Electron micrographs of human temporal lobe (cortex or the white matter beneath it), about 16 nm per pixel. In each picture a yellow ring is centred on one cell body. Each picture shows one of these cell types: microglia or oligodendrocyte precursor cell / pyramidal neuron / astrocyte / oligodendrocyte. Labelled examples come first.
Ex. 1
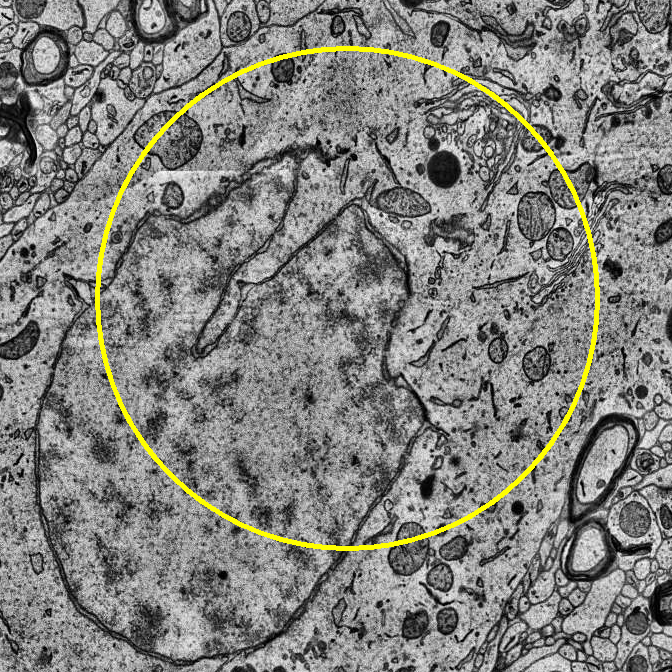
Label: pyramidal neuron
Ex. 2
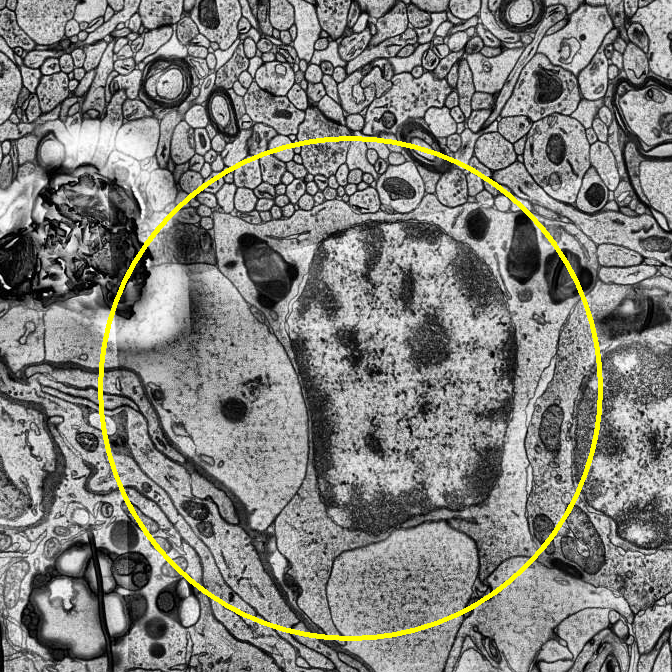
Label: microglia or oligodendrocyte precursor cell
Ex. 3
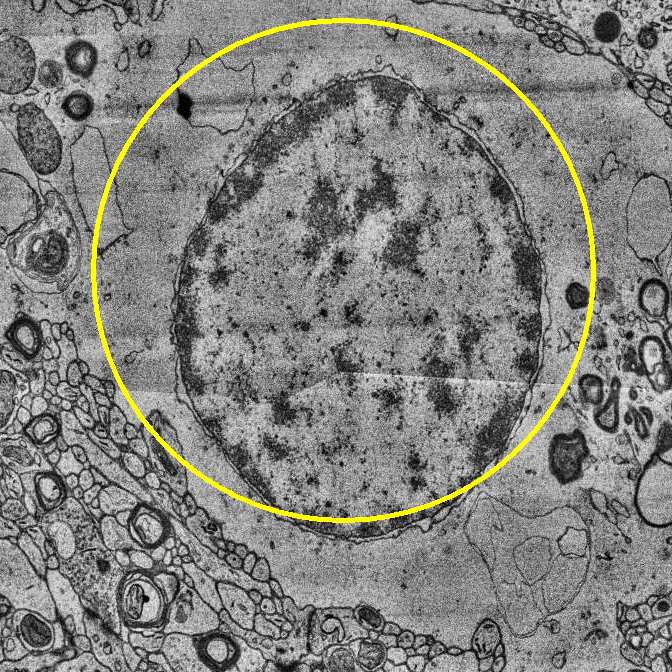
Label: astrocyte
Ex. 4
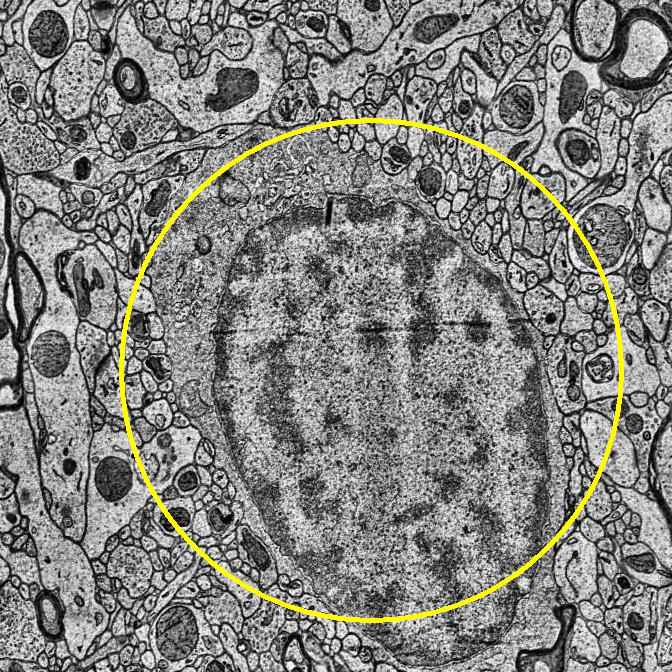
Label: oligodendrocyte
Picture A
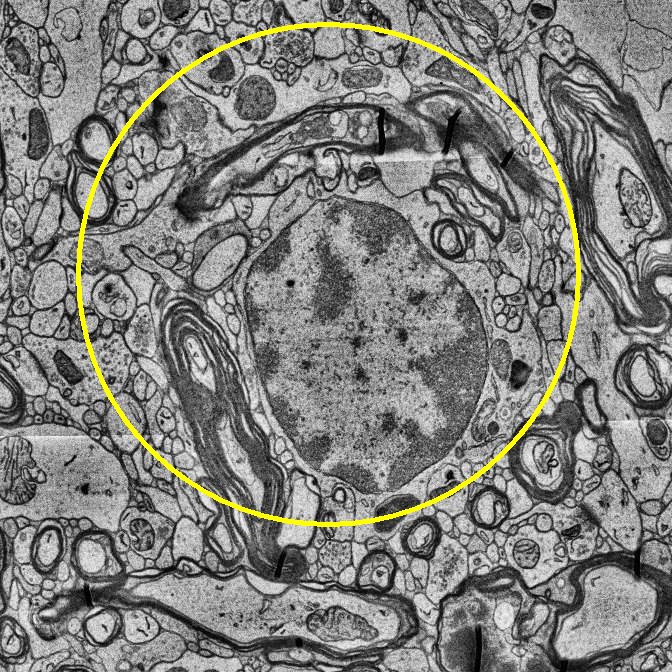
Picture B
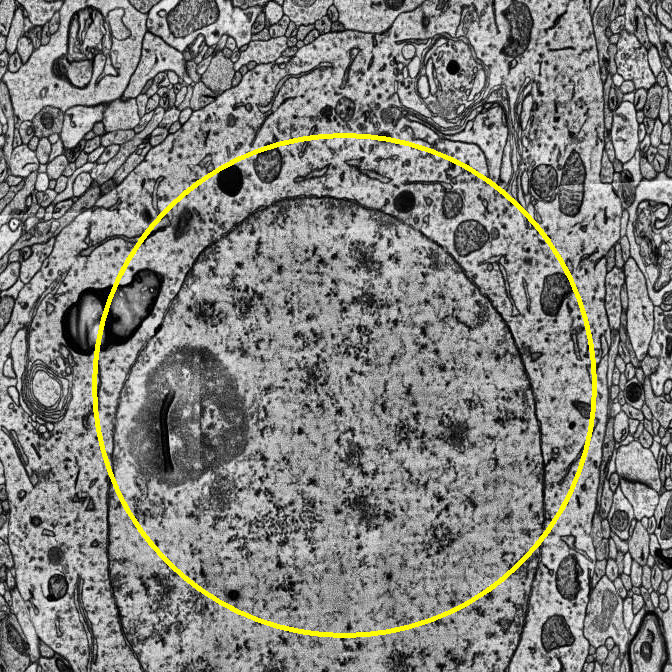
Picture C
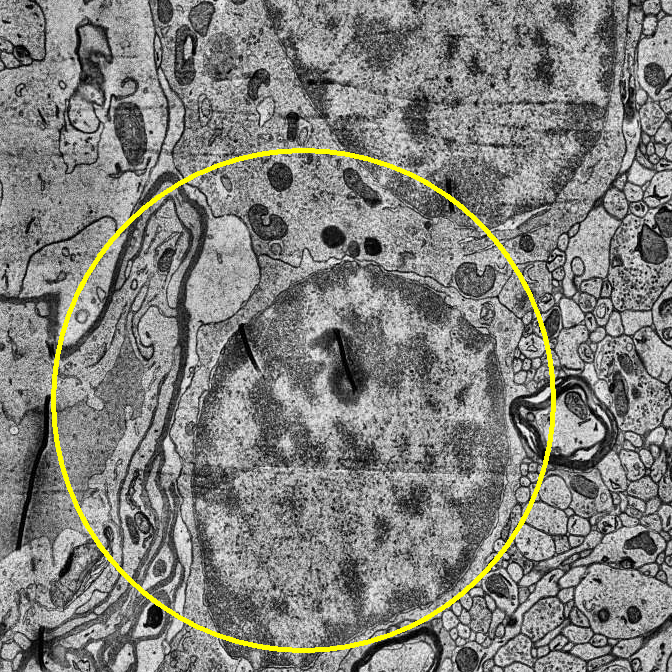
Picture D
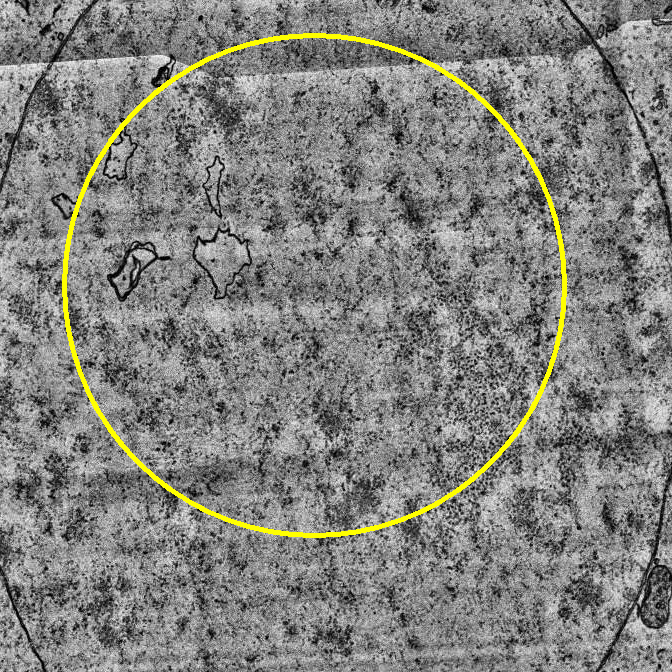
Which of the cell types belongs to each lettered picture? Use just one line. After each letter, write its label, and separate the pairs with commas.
A microglia or oligodendrocyte precursor cell, B pyramidal neuron, C oligodendrocyte, D pyramidal neuron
